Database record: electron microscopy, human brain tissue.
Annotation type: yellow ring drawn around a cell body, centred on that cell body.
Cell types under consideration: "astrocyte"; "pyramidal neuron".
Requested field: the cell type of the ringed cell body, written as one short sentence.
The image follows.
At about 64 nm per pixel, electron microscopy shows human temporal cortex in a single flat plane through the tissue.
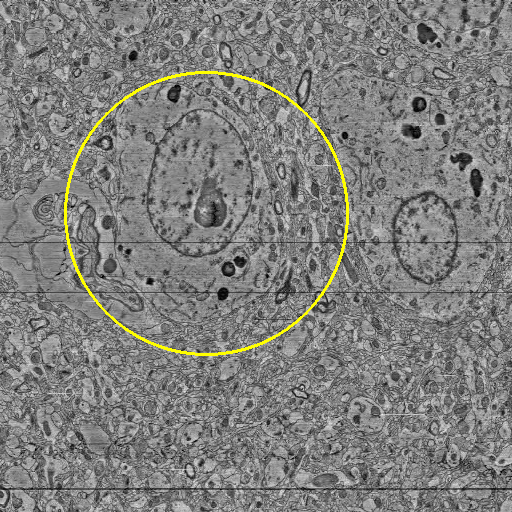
The ringed cell body represents a pyramidal neuron.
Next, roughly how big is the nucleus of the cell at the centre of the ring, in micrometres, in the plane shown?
The nucleus appears roughly 10 by 7 micrometres in this plane.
